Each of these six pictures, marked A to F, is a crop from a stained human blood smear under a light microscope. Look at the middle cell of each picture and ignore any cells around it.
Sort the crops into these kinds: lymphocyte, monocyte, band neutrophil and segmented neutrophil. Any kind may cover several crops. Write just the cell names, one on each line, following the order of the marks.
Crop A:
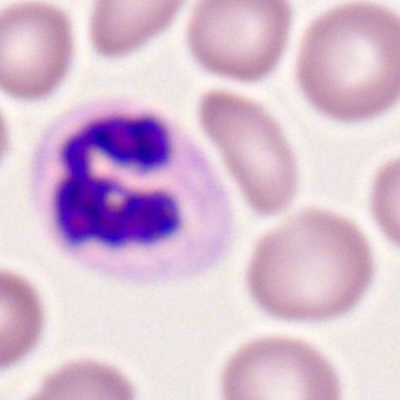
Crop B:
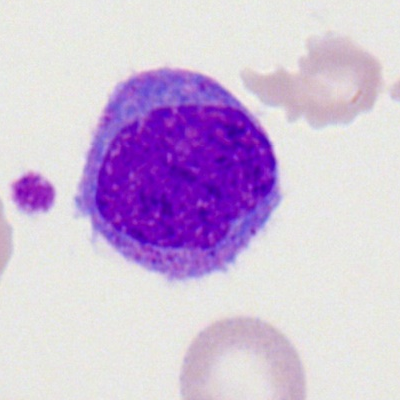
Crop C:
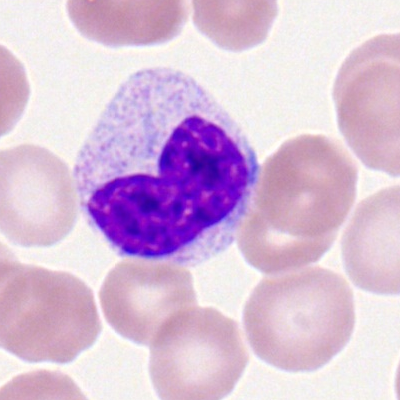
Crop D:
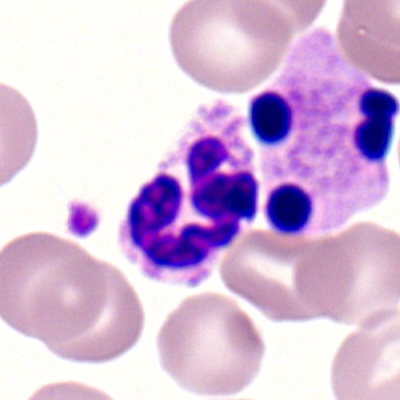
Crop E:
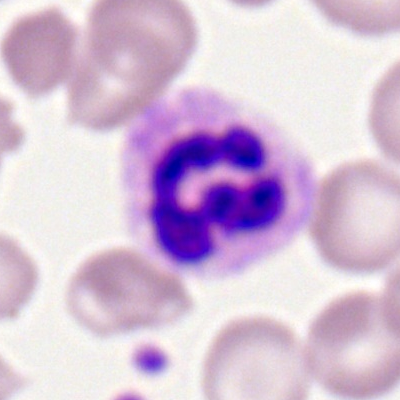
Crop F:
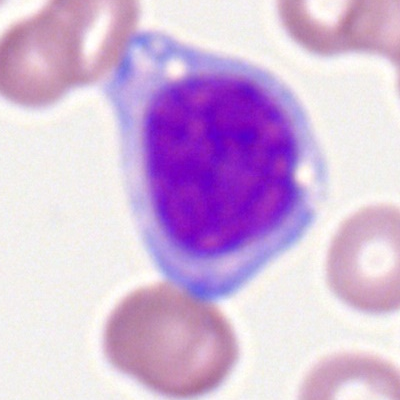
segmented neutrophil
monocyte
band neutrophil
segmented neutrophil
segmented neutrophil
monocyte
